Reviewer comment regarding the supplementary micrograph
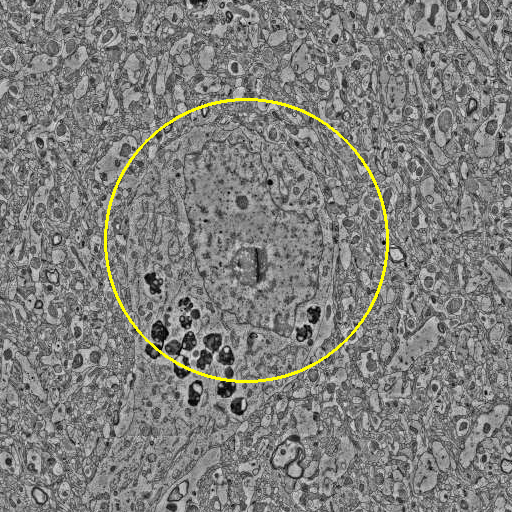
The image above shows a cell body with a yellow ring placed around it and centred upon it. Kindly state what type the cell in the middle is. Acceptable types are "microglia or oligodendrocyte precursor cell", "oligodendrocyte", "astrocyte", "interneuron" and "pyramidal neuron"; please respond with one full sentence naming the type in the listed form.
In the image above, the cell on which the yellow ring is centred is an interneuron.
